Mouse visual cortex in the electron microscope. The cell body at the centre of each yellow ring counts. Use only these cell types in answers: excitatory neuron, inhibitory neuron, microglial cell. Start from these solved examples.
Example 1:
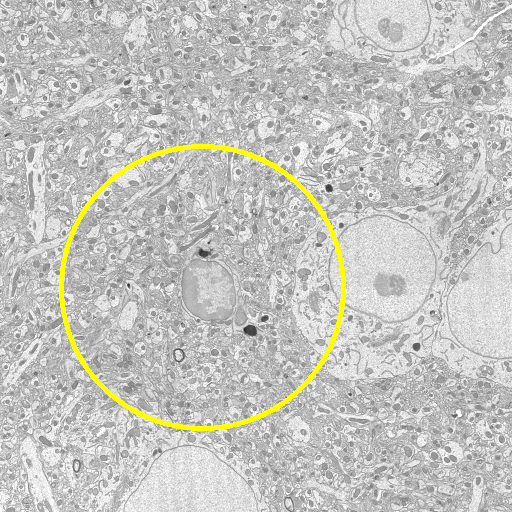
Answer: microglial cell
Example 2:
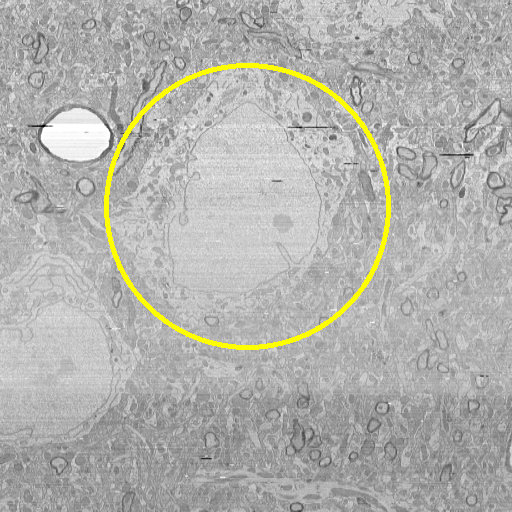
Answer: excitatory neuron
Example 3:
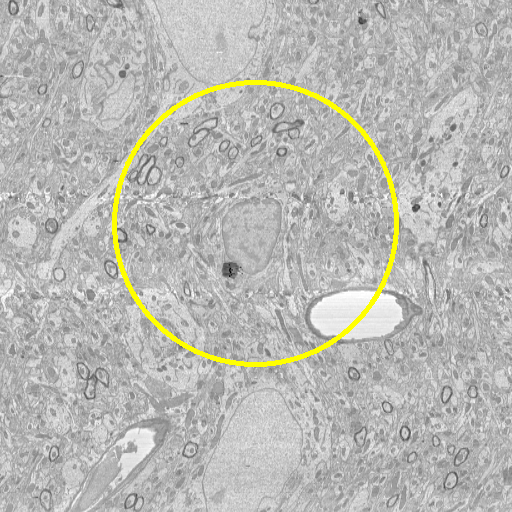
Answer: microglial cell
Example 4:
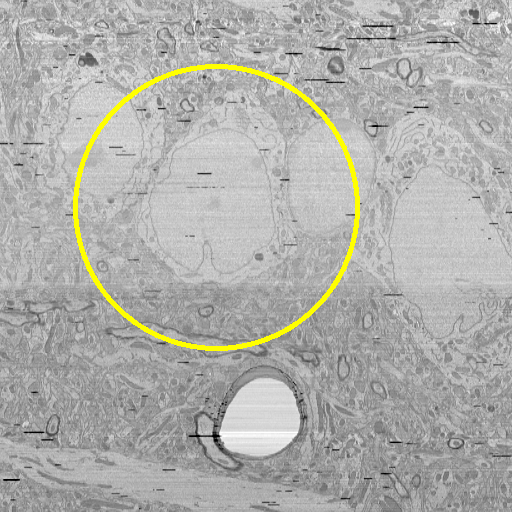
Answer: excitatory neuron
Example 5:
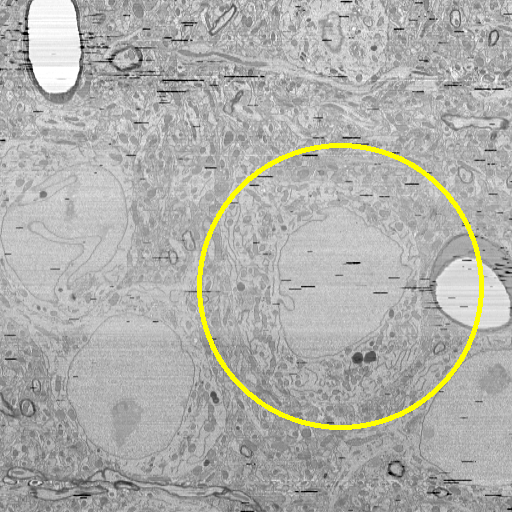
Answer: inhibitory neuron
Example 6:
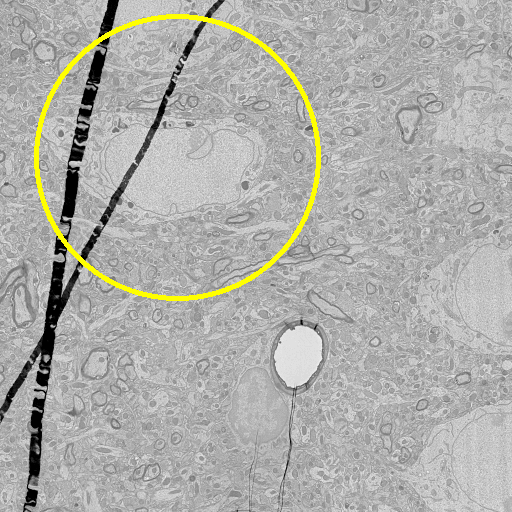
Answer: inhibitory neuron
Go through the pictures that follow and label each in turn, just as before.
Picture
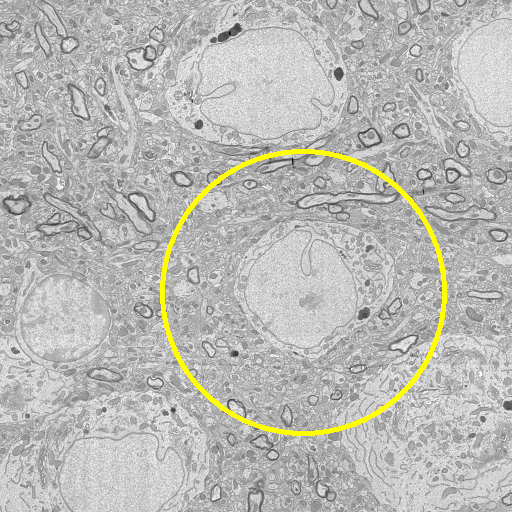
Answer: inhibitory neuron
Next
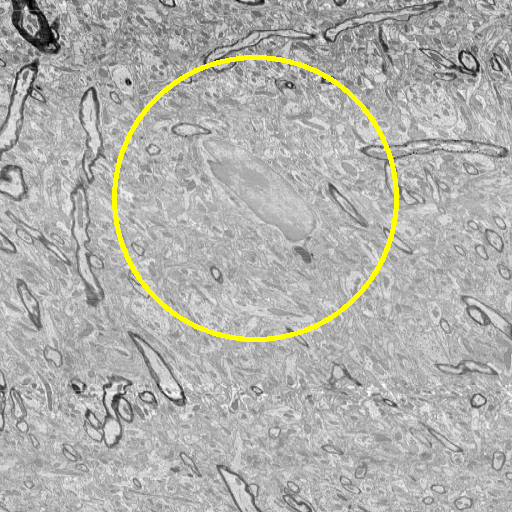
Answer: microglial cell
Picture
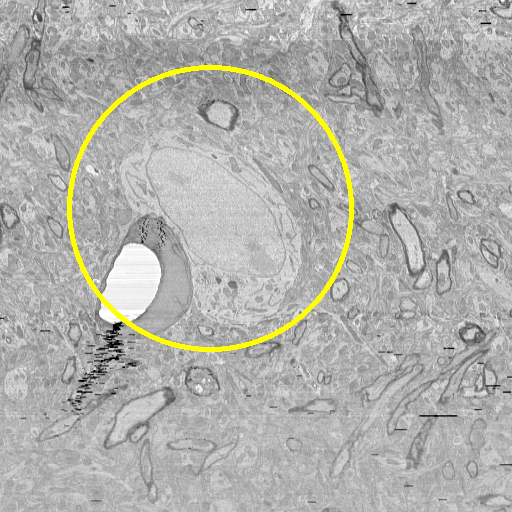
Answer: excitatory neuron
